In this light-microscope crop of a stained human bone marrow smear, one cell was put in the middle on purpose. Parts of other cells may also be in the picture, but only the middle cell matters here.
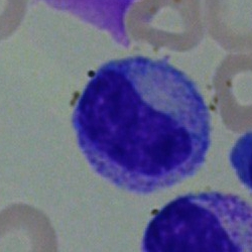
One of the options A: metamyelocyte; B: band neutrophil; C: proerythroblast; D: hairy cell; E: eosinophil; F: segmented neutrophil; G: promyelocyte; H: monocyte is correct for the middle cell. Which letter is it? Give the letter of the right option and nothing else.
A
